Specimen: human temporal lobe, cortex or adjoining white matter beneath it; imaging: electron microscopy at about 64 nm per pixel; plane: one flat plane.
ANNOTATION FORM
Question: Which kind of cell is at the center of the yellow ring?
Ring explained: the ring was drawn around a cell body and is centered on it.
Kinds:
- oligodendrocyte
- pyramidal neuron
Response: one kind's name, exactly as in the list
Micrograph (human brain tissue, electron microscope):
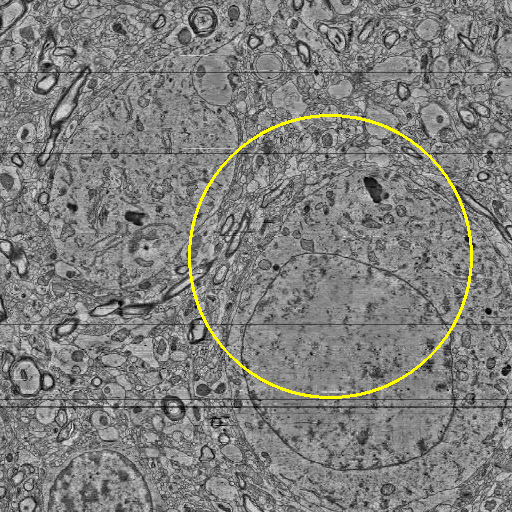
pyramidal neuron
